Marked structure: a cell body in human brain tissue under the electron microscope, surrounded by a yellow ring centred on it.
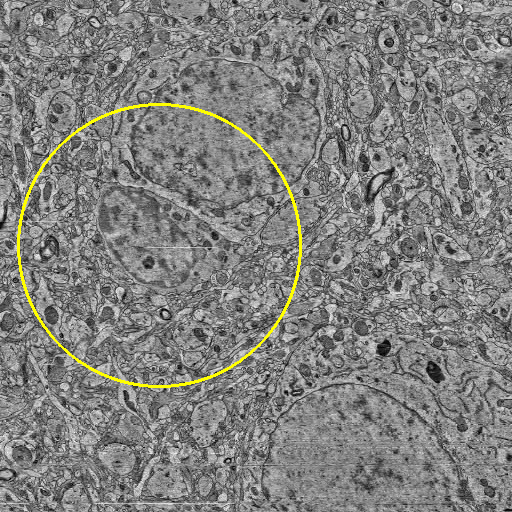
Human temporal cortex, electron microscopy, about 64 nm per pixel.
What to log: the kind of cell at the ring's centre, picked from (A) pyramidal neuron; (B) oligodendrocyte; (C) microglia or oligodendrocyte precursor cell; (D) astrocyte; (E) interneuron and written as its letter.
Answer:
B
